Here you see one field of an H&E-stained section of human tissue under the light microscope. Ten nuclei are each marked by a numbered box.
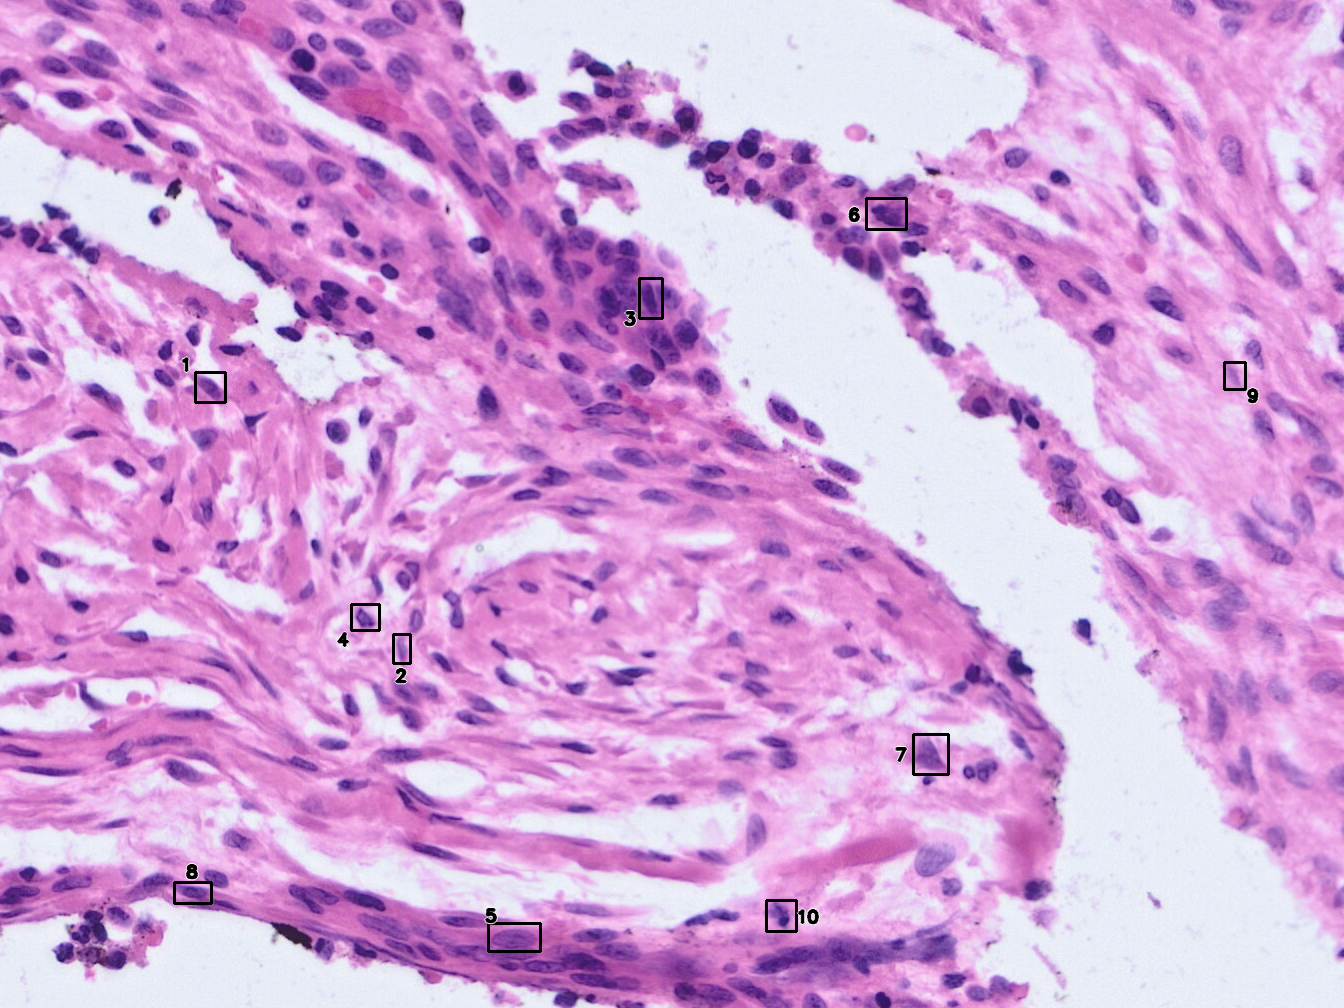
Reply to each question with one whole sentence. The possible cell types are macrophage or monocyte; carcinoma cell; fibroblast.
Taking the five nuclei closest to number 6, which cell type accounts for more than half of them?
Around number 6, most of the five nearest nuclei are those of macrophages or monocytes.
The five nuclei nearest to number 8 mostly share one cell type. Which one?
Fibroblasts make up most of the five nuclei closest to number 8.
